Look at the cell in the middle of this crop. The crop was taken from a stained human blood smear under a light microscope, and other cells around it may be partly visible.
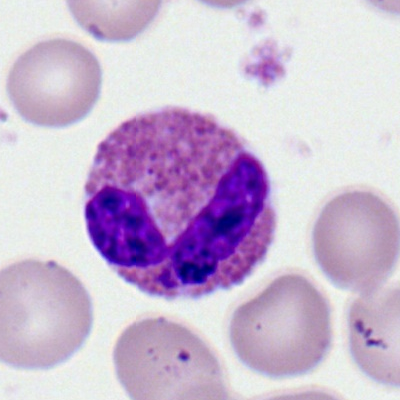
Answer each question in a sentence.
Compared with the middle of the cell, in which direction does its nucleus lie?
It is shifted toward the bottom of the cell.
